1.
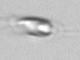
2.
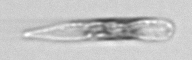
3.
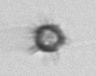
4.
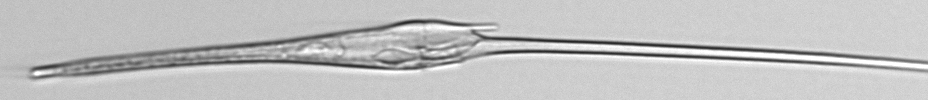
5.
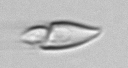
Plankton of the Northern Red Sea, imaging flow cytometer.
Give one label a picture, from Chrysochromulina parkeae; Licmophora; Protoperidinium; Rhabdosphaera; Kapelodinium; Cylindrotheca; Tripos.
Picture 1: Chrysochromulina parkeae
Picture 2: Licmophora
Picture 3: Rhabdosphaera
Picture 4: Tripos
Picture 5: Kapelodinium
